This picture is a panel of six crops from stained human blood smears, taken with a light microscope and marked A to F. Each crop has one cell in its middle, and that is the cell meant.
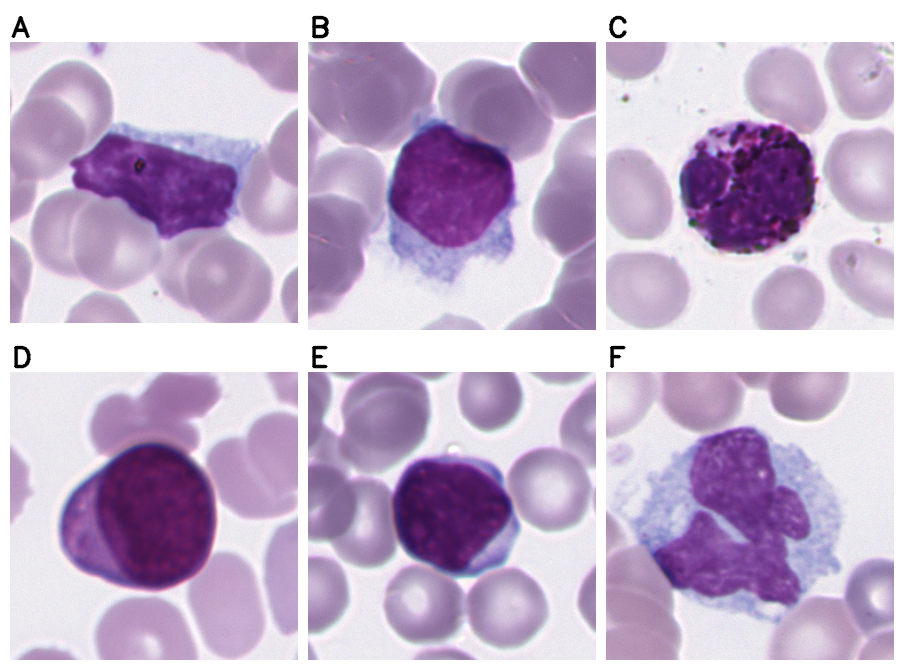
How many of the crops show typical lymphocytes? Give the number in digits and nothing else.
3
